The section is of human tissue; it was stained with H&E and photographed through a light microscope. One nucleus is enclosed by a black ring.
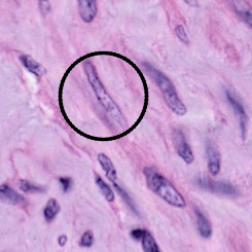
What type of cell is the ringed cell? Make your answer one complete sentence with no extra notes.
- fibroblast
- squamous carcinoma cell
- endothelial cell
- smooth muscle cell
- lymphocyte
Assigned to a cell type, the ringed cell is a smooth muscle cell.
